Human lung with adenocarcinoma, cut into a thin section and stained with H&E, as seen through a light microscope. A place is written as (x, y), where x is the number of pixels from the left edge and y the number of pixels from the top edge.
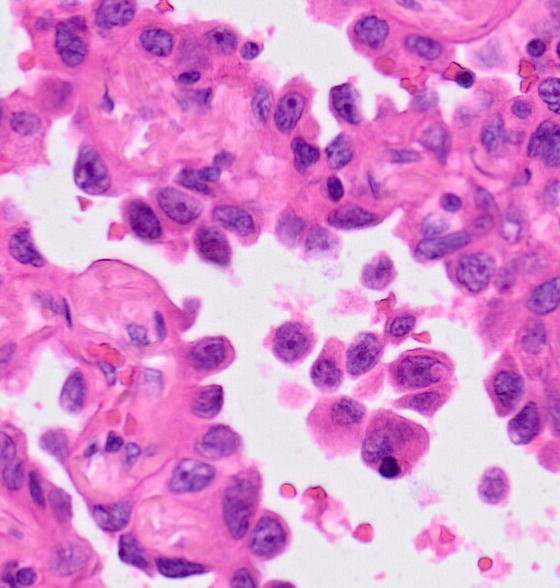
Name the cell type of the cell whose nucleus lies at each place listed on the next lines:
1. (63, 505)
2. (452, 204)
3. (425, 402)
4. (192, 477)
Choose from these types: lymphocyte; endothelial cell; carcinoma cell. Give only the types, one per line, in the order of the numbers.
carcinoma cell
lymphocyte
carcinoma cell
carcinoma cell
